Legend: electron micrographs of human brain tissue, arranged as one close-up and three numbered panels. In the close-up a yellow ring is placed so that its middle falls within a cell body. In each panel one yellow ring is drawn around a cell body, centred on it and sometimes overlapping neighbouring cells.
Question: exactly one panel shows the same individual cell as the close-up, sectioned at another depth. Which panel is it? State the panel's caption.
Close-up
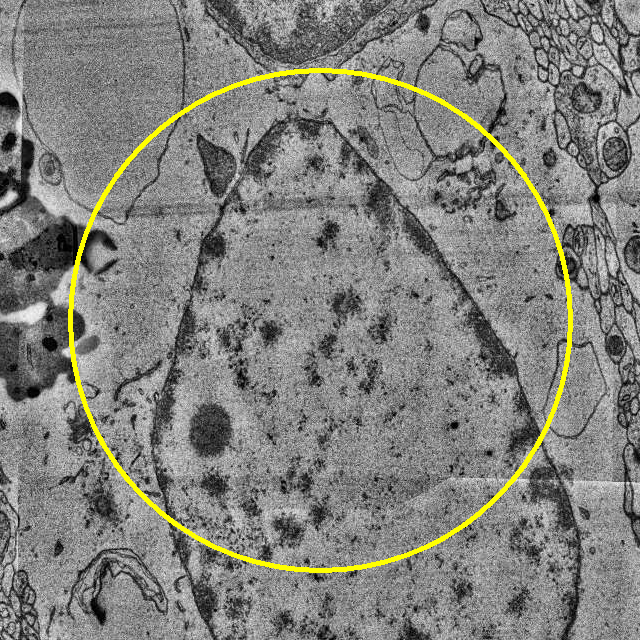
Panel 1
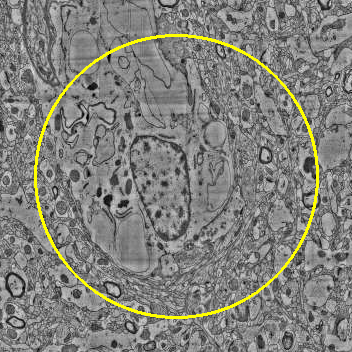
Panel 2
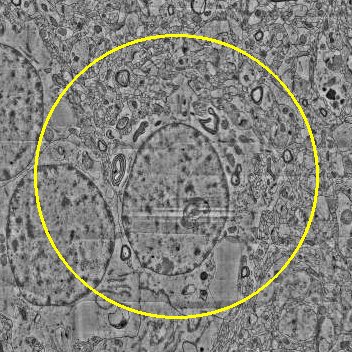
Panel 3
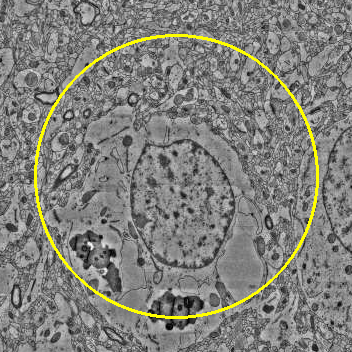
Panel 1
